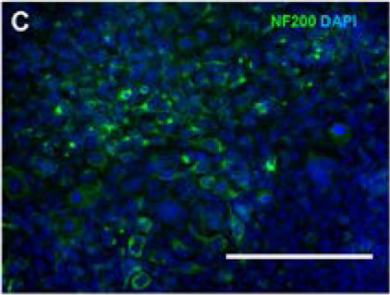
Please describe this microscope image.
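The green stain lies in the cytoplasm around the nuclei and often forms rings that outline individual cell bodies. Here and there, small bright green dots stand out against the weaker green outlines. Some parts of the field show mostly blue nuclei with little green around them.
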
